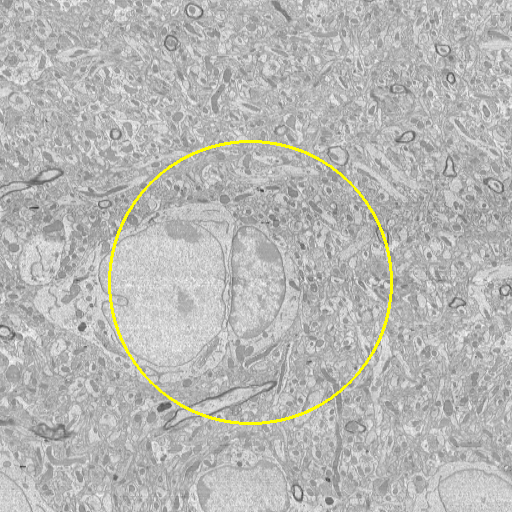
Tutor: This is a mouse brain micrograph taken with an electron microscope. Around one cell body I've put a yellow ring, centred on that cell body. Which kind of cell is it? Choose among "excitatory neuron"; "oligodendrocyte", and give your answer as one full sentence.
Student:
Going by your list, the cell centred in the yellow ring is an oligodendrocyte.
